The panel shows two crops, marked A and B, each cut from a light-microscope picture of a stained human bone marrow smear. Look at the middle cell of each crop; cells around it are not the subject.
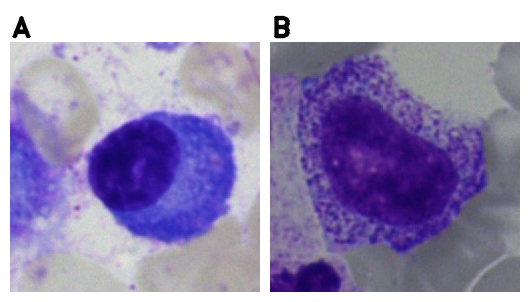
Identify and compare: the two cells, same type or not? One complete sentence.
No, in crop B the central cell is a myelocyte, and in crop A it is a plasma cell.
